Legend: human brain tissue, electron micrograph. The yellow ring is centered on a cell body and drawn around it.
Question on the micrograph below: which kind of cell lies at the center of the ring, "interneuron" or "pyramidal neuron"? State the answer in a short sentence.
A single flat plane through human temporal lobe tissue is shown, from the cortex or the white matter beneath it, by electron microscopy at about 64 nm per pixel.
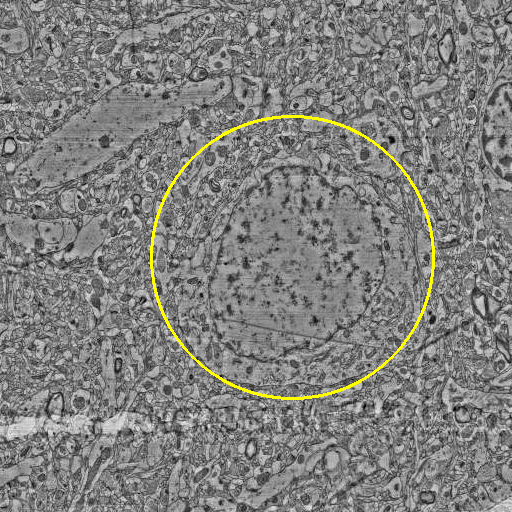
At the center of the ring lies an interneuron.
